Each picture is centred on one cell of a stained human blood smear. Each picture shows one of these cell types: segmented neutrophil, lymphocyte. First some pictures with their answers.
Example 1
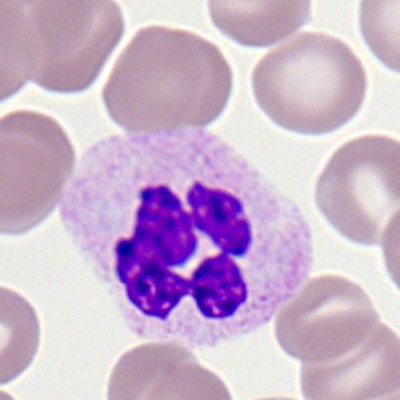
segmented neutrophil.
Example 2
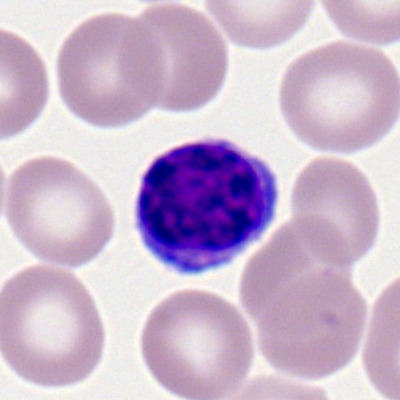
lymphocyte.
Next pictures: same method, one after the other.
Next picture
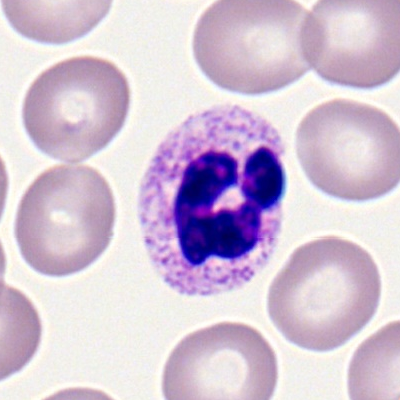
segmented neutrophil.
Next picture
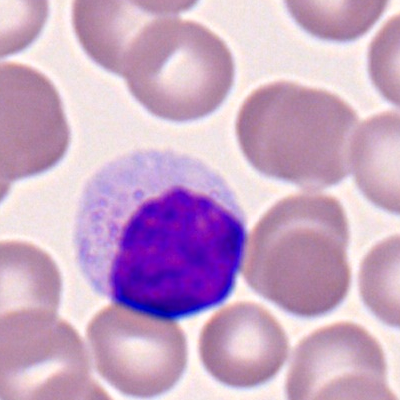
lymphocyte.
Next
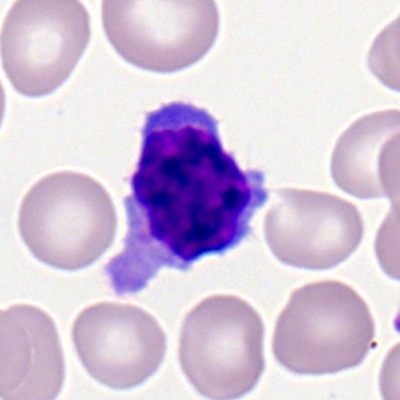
lymphocyte.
